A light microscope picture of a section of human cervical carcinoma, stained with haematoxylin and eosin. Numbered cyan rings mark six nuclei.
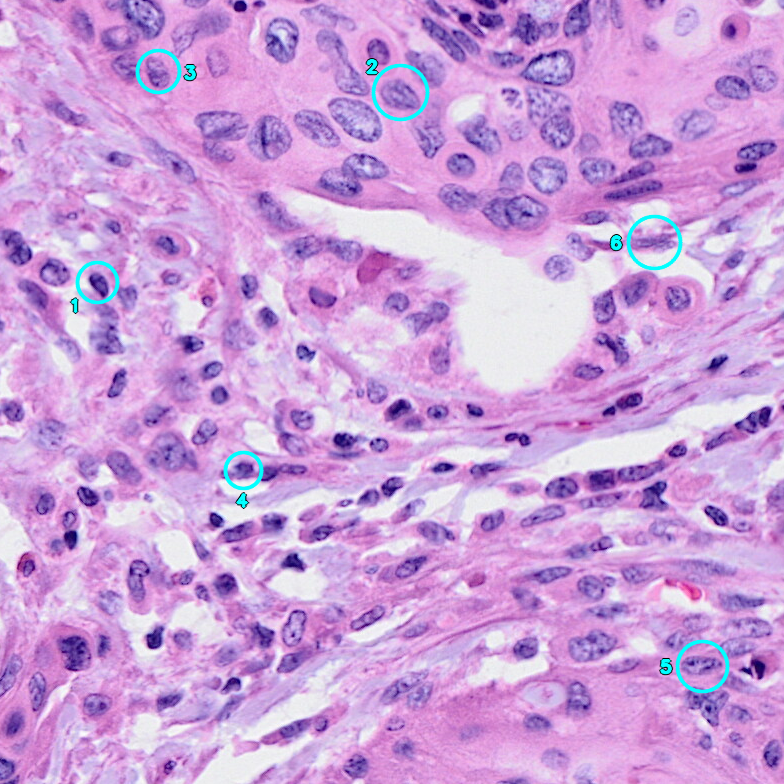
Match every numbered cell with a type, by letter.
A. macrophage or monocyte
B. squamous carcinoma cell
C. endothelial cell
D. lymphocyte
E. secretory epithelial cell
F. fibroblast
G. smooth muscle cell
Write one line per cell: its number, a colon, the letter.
1: D
2: B
3: B
4: D
5: B
6: F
